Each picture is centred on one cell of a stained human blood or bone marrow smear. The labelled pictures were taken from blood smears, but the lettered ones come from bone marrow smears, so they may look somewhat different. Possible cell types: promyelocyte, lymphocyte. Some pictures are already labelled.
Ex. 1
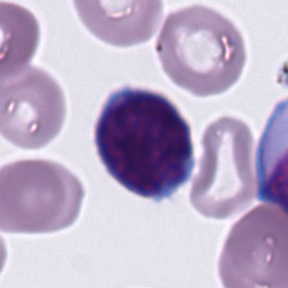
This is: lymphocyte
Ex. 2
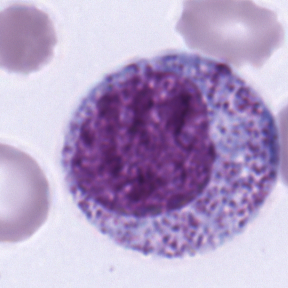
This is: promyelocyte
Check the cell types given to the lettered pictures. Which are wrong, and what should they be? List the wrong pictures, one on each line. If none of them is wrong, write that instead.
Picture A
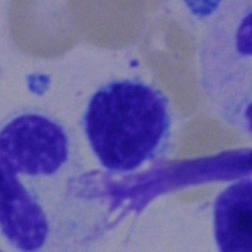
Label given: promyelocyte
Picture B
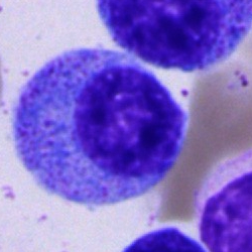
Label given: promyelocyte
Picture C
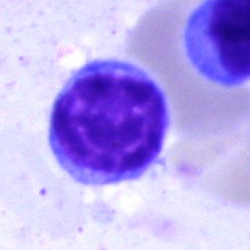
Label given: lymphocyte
A: not promyelocyte but lymphocyte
